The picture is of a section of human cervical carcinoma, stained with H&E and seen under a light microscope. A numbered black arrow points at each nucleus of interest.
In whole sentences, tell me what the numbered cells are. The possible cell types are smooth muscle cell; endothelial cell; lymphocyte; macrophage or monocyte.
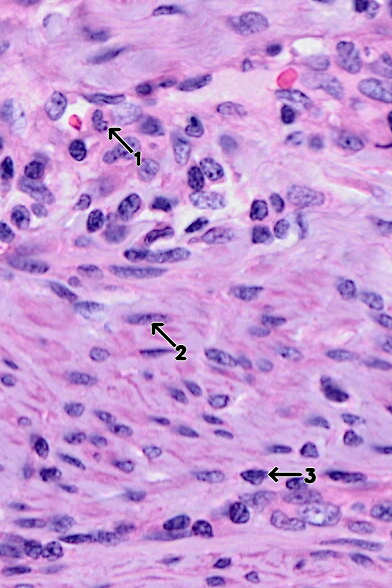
Cell 1 is an endothelial cell, cell 2 is a smooth muscle cell and cell 3 is a lymphocyte.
